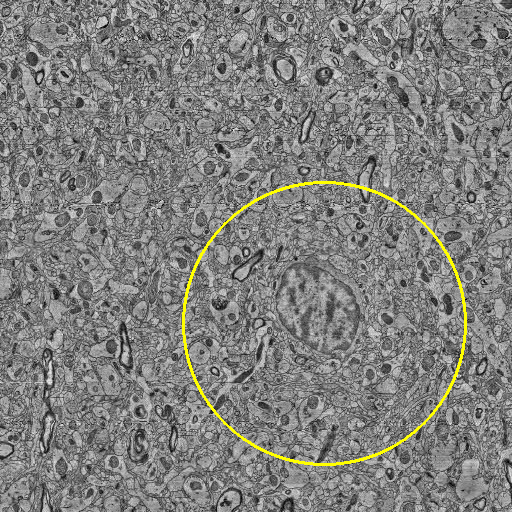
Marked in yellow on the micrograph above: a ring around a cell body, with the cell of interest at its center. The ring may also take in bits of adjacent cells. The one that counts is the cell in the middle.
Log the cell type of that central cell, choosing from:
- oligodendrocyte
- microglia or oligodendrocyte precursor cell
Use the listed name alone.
oligodendrocyte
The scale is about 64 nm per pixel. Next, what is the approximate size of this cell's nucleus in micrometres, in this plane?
In this plane, the nucleus of the cell at the centre of the ring measures about 6 by 5 micrometres.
